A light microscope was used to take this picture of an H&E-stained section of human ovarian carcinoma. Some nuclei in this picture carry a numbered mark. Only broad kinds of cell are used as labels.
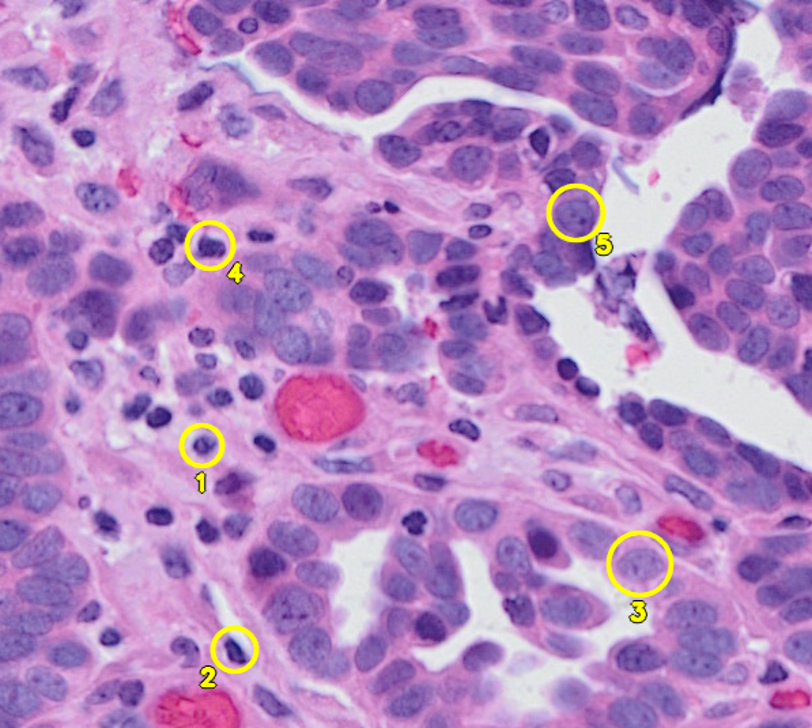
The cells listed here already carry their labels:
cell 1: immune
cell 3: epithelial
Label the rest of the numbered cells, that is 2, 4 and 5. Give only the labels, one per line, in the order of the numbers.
immune
immune
epithelial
